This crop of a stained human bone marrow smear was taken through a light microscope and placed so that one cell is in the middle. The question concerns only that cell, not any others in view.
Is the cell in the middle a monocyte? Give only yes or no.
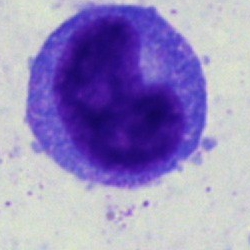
yes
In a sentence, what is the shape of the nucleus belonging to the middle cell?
Round, oval or kidney-shaped, the nucleus is one compact mass.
